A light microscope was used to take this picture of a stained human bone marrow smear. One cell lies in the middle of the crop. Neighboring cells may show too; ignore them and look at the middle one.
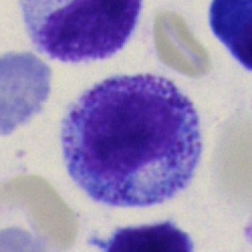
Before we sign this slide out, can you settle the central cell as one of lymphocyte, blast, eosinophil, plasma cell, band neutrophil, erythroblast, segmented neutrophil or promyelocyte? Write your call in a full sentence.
The middle position in this crop is taken by a promyelocyte.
